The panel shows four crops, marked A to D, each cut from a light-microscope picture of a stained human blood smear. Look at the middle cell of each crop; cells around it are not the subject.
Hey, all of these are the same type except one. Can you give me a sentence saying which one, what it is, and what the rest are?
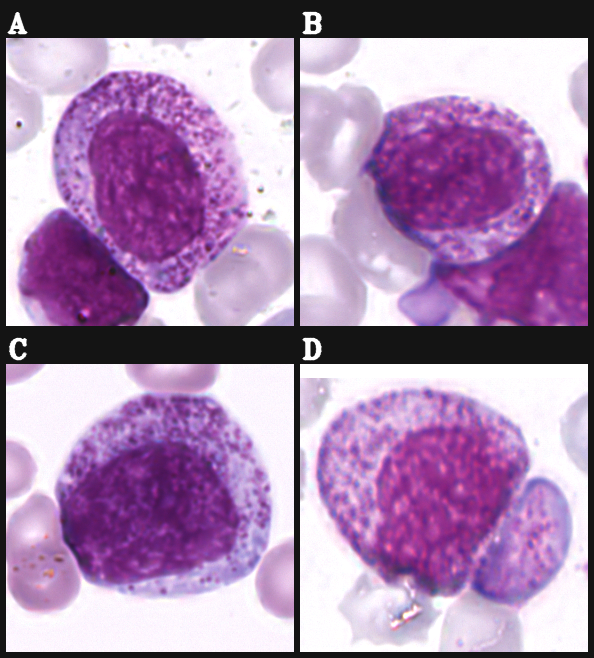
Crop C alone is a promyelocyte, and the other crops are all myelocytes.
